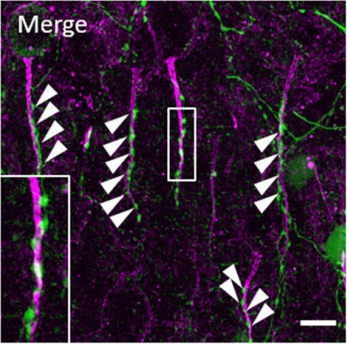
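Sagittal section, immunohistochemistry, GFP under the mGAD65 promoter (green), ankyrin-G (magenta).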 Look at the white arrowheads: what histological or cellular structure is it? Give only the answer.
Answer: Chandelier cell synaptic boutons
